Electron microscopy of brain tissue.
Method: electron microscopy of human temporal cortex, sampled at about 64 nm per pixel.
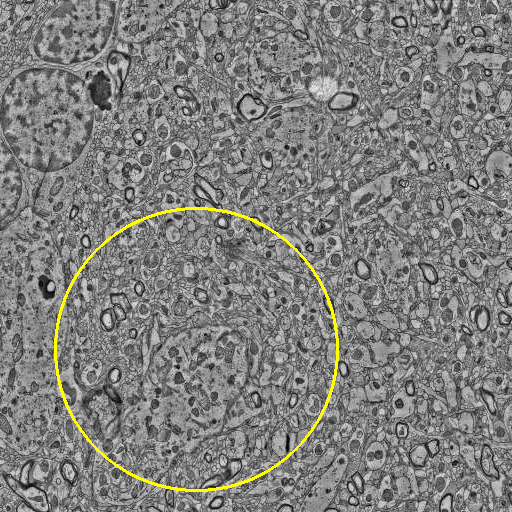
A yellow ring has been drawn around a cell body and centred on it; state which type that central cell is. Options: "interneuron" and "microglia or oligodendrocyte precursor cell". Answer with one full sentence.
The cell at the middle of the yellow ring is an interneuron in this picture.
